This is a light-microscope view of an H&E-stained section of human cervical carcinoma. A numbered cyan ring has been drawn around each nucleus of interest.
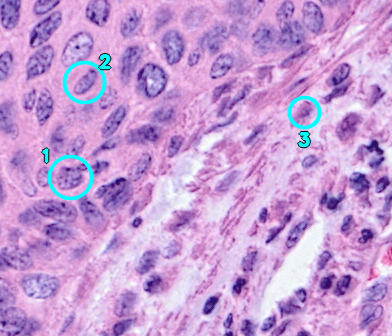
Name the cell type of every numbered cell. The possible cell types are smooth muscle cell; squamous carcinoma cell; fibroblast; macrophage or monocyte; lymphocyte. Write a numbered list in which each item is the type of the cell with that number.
1. squamous carcinoma cell
2. squamous carcinoma cell
3. fibroblast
